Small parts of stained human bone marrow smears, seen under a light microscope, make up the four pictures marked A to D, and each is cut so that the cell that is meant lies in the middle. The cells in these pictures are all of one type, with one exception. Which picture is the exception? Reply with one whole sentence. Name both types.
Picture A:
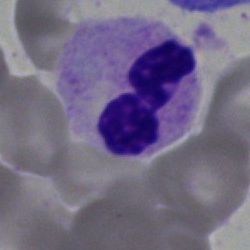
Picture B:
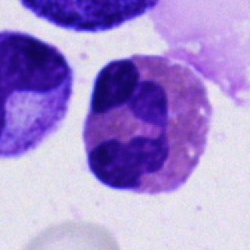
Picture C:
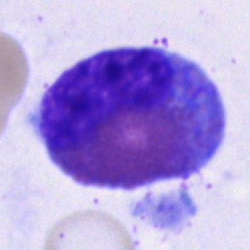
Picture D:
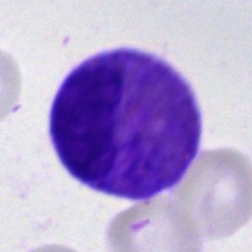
Picture A differs, because its cell is a segmented neutrophil and the rest are eosinophils.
